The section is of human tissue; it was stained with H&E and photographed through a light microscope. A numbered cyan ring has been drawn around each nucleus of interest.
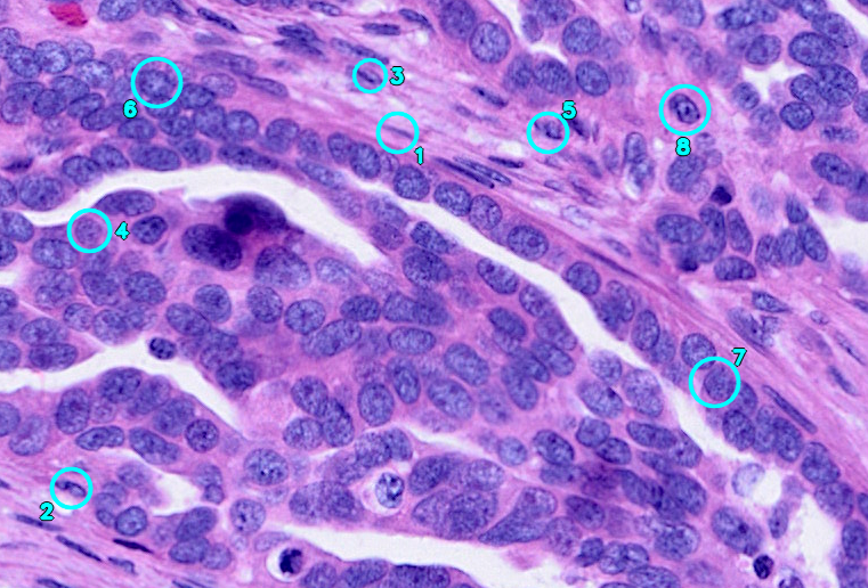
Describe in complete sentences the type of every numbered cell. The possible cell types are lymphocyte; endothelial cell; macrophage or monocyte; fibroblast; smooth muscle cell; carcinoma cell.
Cells 1, 2, 3 and 5 are fibroblasts. Cells 4, 6 and 7 are carcinoma cells. Cell 8 is a macrophage or monocyte.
